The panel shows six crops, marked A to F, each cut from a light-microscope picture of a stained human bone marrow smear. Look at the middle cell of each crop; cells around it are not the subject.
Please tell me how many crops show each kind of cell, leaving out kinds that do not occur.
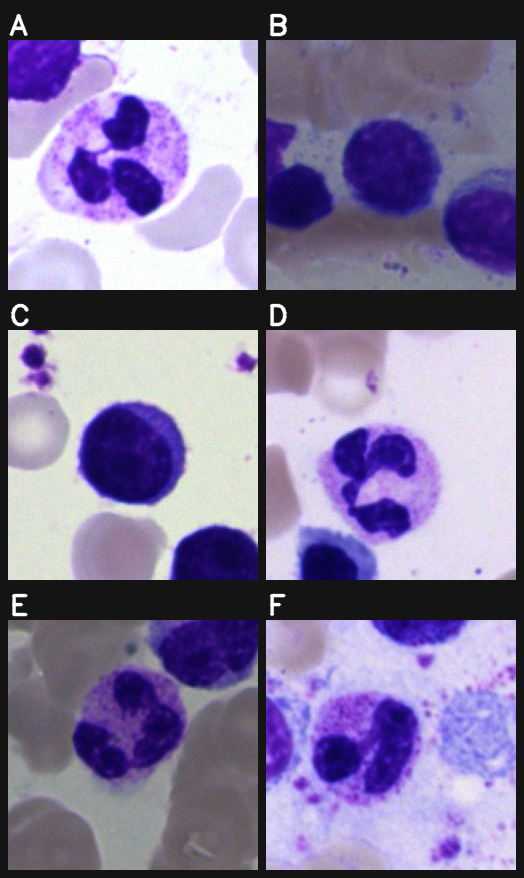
segmented neutrophil: 4
lymphocyte: 2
